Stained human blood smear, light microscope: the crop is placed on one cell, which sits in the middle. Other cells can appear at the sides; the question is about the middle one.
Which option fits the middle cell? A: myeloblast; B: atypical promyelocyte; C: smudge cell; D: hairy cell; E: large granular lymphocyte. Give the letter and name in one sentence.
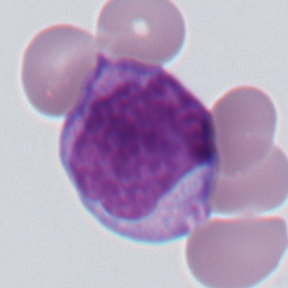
The cell at the centre is an atypical promyelocyte, and option B accordingly is correct.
